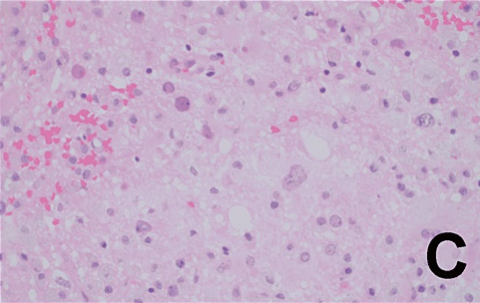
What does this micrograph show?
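This is brain tissue in which oligodendrocytes have glassy nuclei. Their round nuclei are enlarged and evenly purple-grey, with a smudged, glassy look in place of crisp chromatin. They lie in pale pink tissue that is vacuolated and loosened, with small clusters of red blood cells at the edges.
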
